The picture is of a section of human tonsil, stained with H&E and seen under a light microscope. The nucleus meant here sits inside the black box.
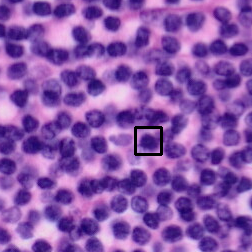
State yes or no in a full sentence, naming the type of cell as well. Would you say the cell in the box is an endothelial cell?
No. Look again: the cell in the box is a small lymphocyte, not an endothelial cell.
